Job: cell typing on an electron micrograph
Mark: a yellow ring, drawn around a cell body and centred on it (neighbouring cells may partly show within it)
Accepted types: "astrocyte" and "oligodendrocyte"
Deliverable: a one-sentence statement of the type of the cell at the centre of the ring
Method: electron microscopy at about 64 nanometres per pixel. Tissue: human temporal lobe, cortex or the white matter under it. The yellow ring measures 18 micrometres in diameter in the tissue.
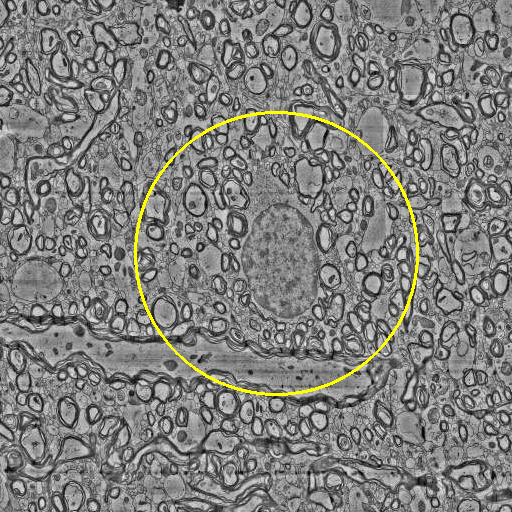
The centred cell body is that of an oligodendrocyte.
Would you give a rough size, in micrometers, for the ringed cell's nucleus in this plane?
The nucleus comes to roughly 7 by 5 micrometres in this plane.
